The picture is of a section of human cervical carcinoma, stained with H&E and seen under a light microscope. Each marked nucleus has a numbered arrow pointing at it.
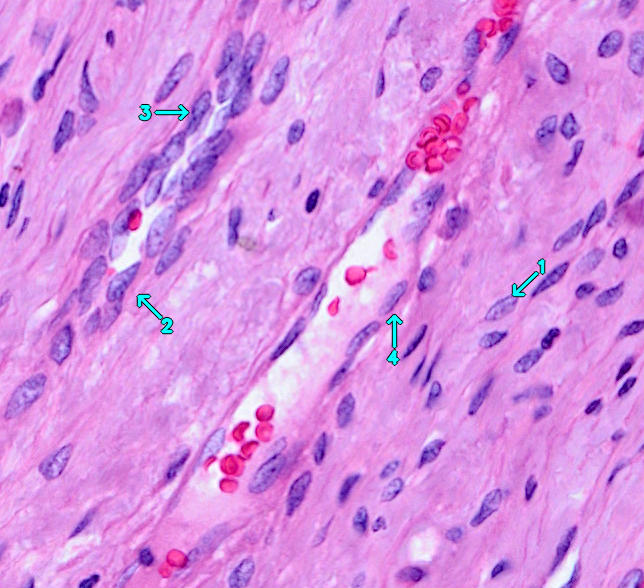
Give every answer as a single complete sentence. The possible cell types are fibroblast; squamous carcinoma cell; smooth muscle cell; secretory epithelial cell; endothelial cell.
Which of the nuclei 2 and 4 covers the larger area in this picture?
Of the two, number 2 is bigger and takes up about 1.5 times the area of number 4.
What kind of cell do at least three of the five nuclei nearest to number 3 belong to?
The majority of the five nuclei closest to number 3 belong to endothelial cells.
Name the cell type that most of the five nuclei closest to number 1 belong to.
Around number 1, most of the five nearest nuclei are those of fibroblasts.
